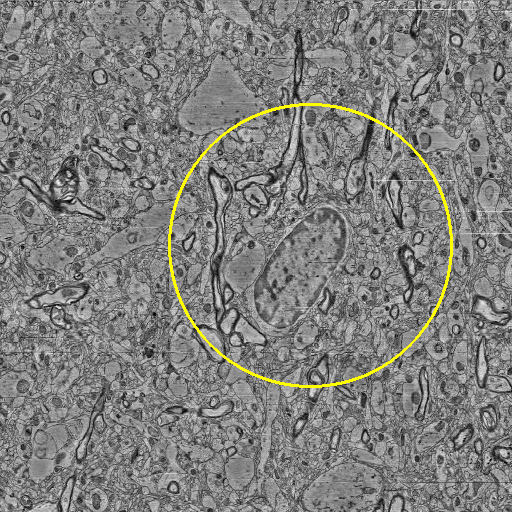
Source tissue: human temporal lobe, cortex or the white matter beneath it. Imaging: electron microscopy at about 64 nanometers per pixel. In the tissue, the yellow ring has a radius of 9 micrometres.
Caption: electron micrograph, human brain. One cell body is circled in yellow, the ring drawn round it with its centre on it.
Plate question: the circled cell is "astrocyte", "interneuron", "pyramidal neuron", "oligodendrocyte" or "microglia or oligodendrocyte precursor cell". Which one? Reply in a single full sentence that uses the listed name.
The yellow ring on the plate is centred on a microglial cell or oligodendrocyte precursor cell, going by the listed names.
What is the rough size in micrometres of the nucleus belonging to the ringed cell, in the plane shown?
Clearly longer than it is wide in this plane, the nucleus measures roughly 8 by 4 micrometres.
